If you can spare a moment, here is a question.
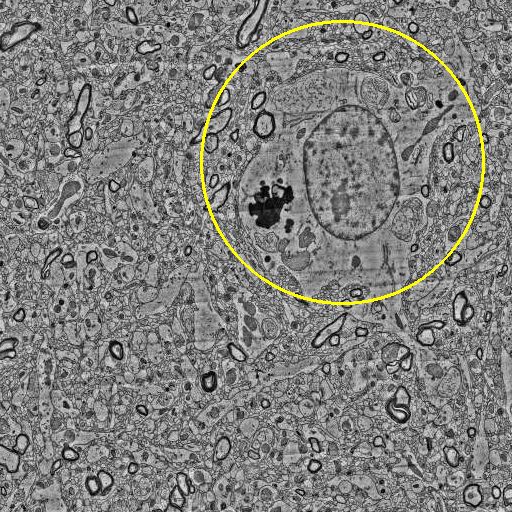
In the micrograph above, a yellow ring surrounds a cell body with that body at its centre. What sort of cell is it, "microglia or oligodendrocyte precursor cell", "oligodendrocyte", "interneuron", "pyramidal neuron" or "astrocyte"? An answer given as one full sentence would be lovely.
Centred inside the yellow ring, the cell body shown belongs to an astrocyte in this micrograph.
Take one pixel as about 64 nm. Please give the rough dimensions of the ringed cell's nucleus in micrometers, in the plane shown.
Roughly 9 by 6 micrometres in this plane, for the nucleus of the ringed cell.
